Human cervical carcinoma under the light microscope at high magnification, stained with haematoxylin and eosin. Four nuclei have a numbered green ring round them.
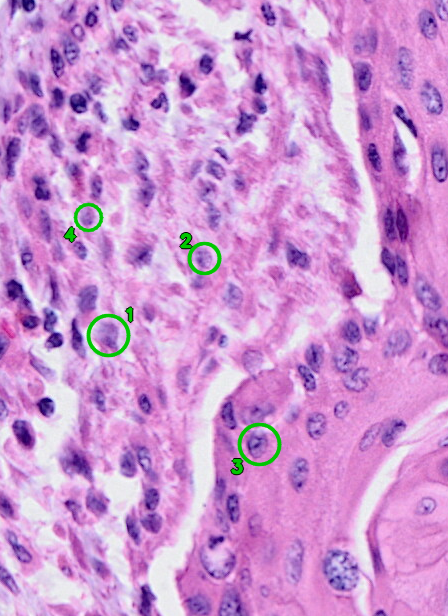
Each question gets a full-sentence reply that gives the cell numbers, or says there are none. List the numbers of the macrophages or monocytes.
None of the numbered cells is one of the macrophages or monocytes.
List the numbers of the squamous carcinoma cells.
In contrast to the remaining marked cells, cell 3 is a squamous carcinoma cell.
